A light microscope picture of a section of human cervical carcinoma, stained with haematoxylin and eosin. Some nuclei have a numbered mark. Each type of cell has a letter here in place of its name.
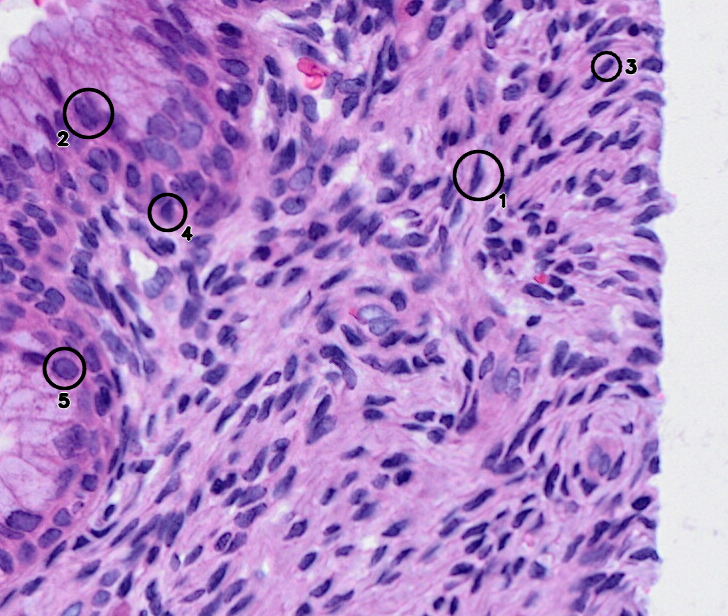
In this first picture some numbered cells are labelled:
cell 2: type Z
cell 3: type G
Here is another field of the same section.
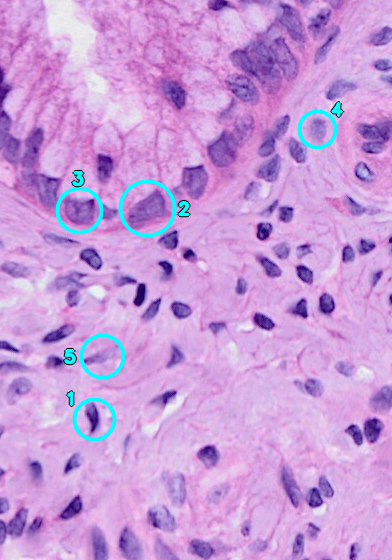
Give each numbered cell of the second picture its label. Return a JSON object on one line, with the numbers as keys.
{"1": "type G", "2": "type Z", "3": "type Z", "4": "type G", "5": "type G"}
